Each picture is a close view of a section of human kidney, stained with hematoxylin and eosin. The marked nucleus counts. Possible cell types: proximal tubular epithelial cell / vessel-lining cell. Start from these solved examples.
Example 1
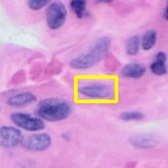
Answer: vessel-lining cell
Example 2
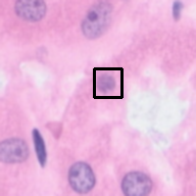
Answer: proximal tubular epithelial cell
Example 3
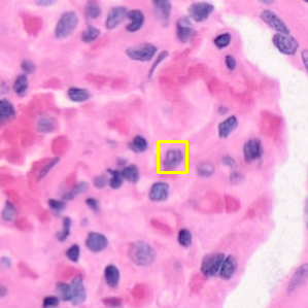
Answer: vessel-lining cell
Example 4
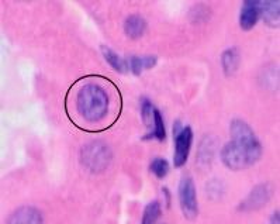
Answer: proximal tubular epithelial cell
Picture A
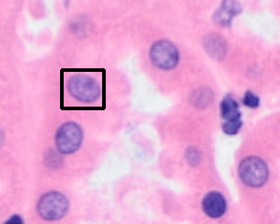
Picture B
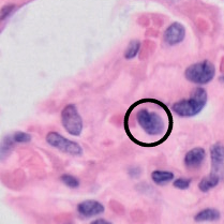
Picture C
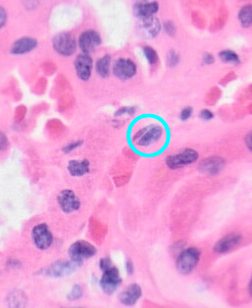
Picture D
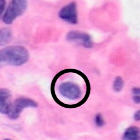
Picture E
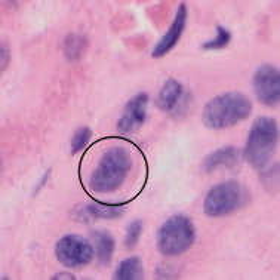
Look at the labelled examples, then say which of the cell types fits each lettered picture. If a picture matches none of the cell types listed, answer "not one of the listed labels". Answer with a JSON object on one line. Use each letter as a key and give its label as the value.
{"A": "proximal tubular epithelial cell", "B": "vessel-lining cell", "C": "vessel-lining cell", "D": "vessel-lining cell", "E": "not one of the listed labels"}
